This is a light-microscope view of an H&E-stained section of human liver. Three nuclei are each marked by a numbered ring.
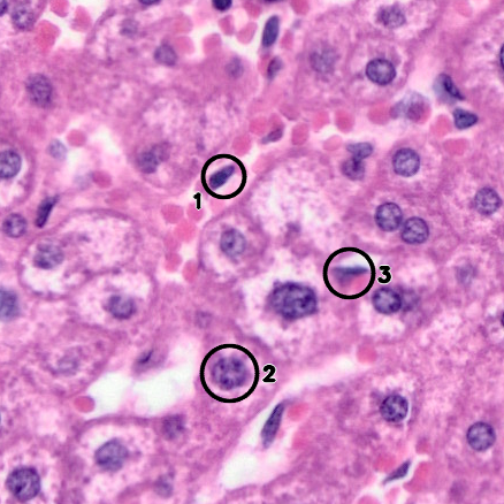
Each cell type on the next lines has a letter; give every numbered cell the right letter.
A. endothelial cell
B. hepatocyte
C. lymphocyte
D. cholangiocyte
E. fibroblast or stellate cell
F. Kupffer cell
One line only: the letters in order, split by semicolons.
C; B; A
